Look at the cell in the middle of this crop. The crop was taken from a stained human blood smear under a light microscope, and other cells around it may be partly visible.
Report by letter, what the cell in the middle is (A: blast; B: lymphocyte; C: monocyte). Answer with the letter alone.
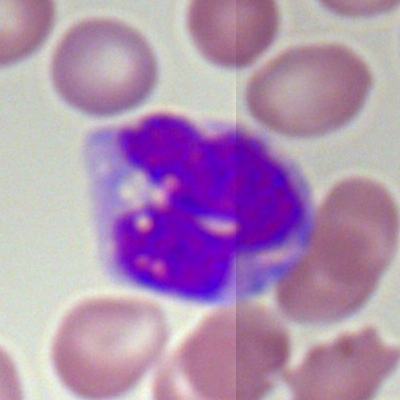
C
